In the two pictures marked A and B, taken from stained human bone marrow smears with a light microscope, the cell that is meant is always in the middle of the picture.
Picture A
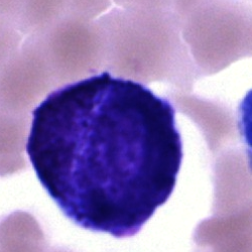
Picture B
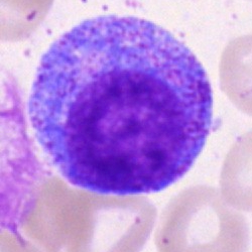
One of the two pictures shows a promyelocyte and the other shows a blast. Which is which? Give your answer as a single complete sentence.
In picture A the cell is a blast; in picture B, a promyelocyte.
